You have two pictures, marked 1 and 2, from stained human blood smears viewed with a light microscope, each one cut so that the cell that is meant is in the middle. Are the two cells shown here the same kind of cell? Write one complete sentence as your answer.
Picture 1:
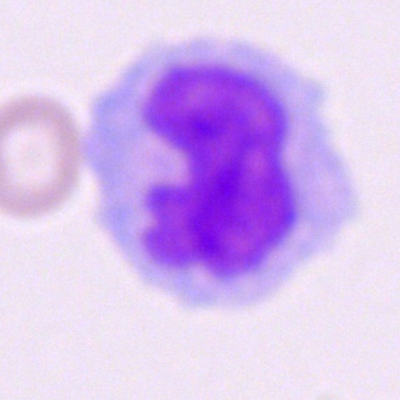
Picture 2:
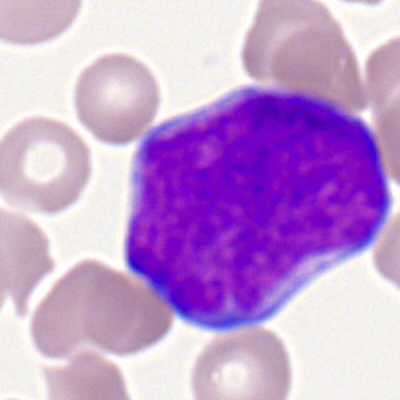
No, they differ: the cell is a monocyte in picture 1 and a myeloblast in picture 2.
